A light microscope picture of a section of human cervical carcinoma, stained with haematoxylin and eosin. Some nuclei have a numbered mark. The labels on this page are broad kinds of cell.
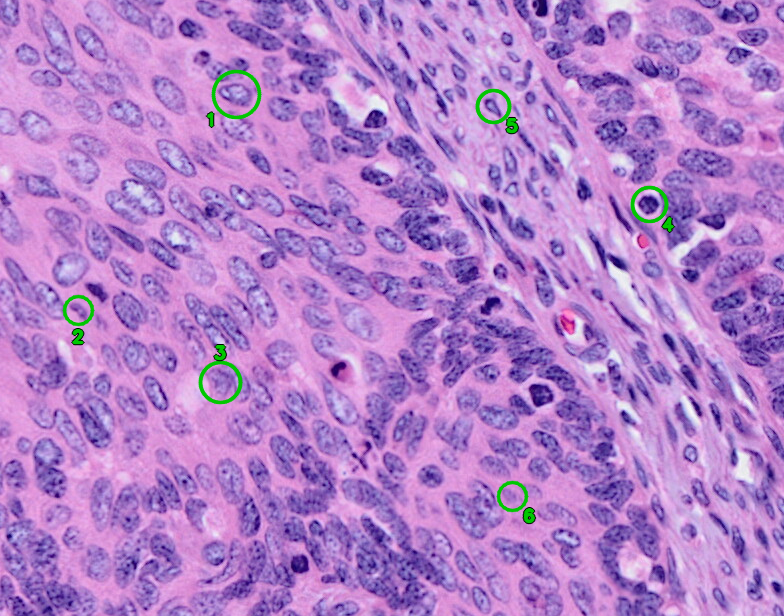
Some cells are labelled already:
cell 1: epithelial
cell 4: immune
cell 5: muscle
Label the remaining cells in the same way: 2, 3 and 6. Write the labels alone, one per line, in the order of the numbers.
epithelial
epithelial
epithelial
